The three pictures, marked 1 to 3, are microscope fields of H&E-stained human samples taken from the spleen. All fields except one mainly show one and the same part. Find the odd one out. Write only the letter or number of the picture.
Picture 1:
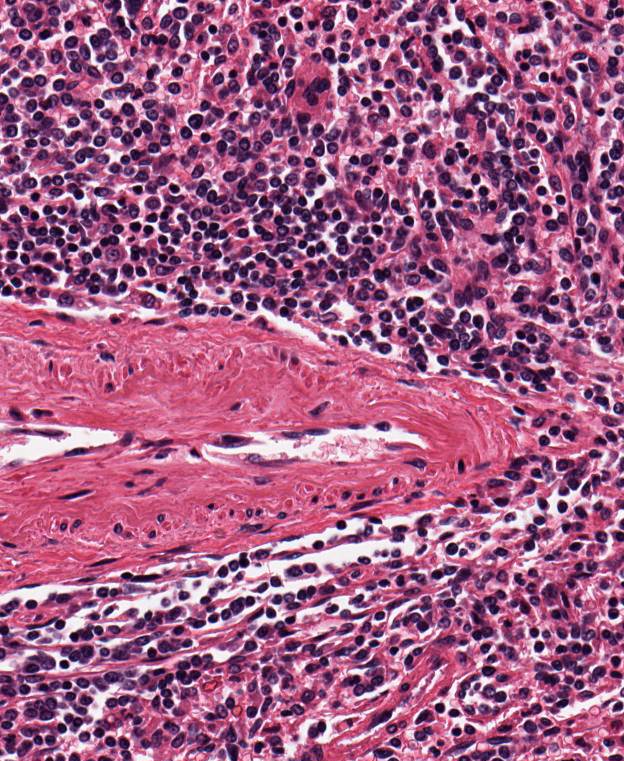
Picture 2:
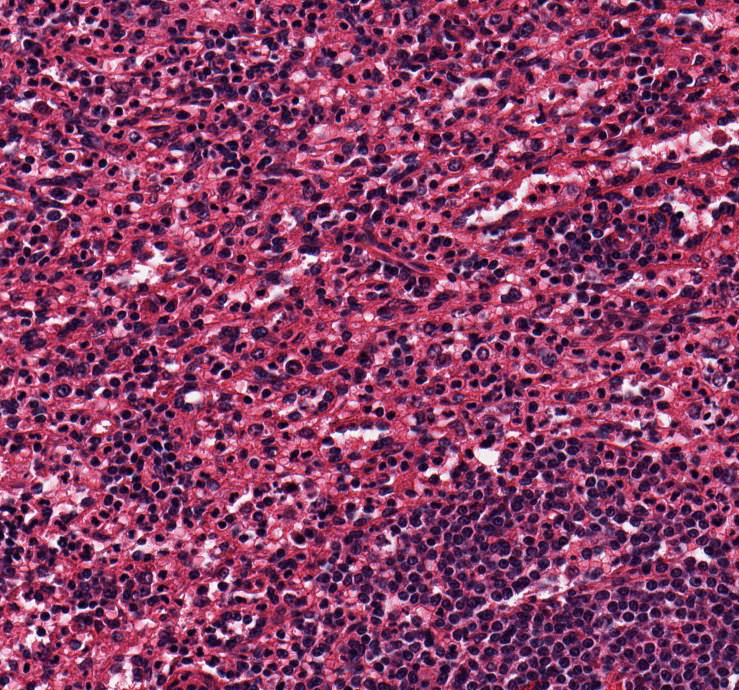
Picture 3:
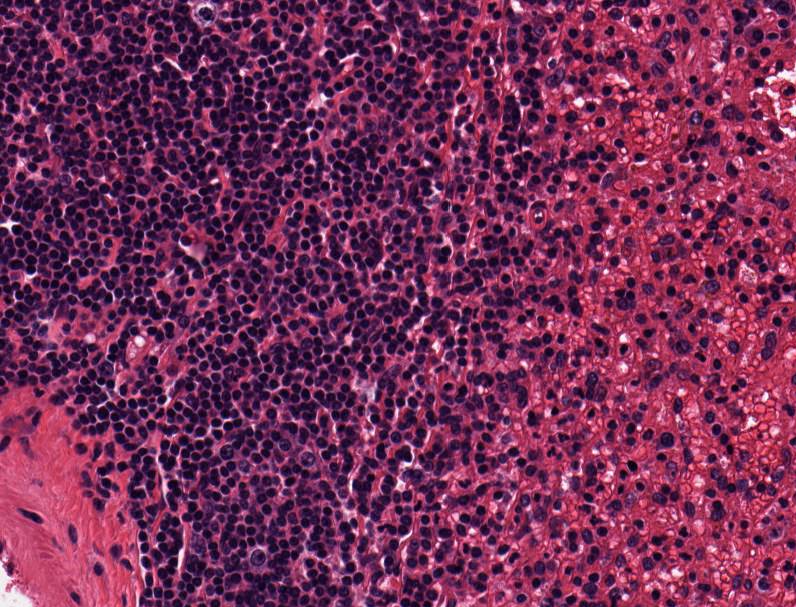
2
